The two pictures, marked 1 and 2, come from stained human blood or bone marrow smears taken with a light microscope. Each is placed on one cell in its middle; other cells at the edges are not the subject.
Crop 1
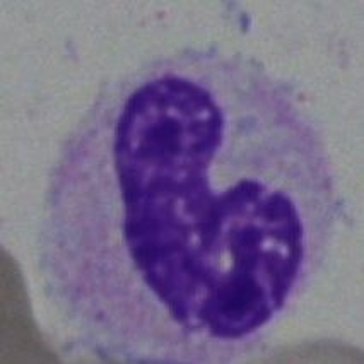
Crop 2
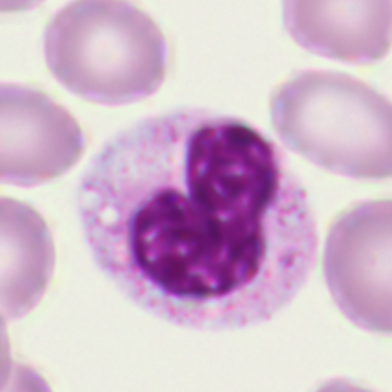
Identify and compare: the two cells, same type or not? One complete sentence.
Yes, both crops alike show band neutrophils at the centre.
